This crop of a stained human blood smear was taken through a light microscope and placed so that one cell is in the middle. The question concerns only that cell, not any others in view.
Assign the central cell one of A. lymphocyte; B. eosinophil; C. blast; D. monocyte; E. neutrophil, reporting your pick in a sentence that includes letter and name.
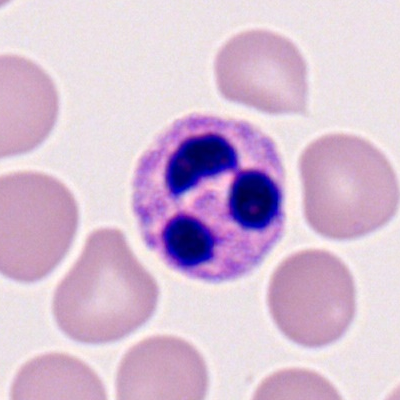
The correct response is option E, naming the cell in the middle as a neutrophil.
